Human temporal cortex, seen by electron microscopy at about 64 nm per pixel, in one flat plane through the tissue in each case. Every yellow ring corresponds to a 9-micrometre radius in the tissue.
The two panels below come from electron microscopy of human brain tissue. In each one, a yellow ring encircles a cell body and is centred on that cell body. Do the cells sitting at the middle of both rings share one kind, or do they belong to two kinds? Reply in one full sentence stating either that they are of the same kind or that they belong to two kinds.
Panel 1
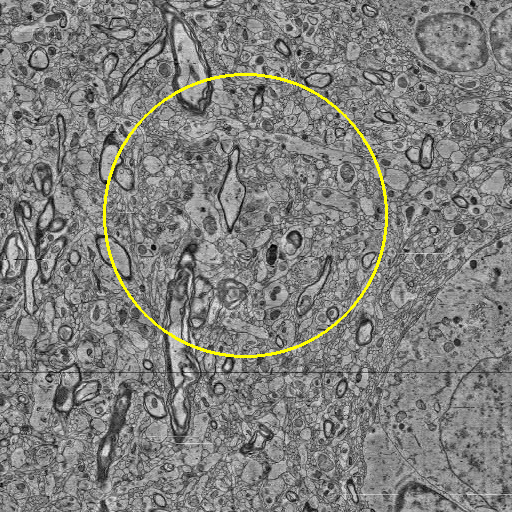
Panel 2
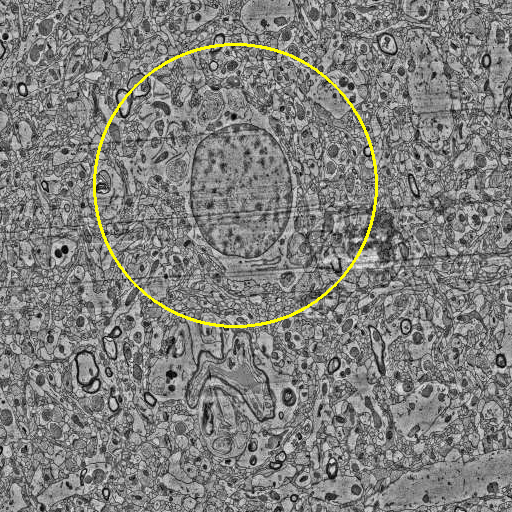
The cells at the centres of the two rings belong to two kinds.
